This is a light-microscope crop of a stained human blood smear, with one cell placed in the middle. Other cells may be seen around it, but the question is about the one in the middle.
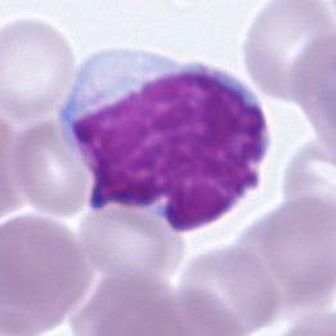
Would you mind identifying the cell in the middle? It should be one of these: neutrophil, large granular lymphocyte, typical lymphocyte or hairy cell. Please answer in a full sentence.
The middle of this crop is occupied by a large granular lymphocyte.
